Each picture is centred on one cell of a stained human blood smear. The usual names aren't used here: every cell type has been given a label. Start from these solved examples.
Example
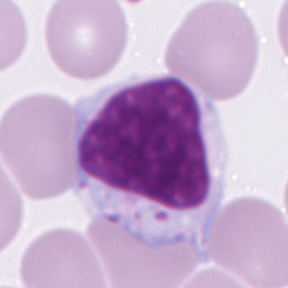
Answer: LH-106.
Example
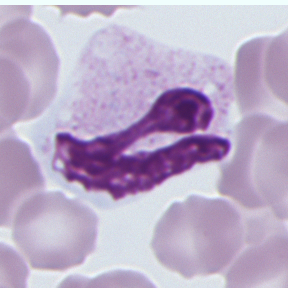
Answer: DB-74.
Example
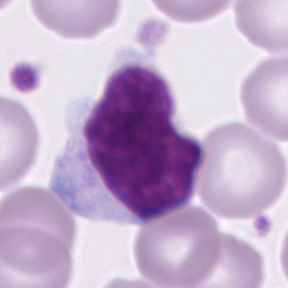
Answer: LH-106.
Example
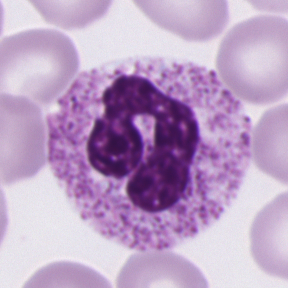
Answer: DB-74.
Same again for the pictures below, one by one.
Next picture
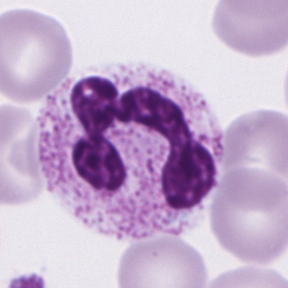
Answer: DB-74.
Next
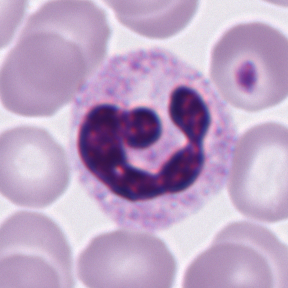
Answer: DB-74.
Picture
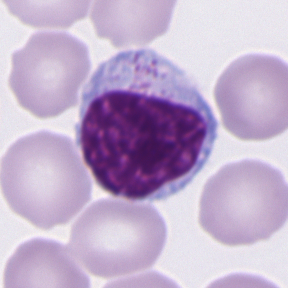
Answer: LH-106.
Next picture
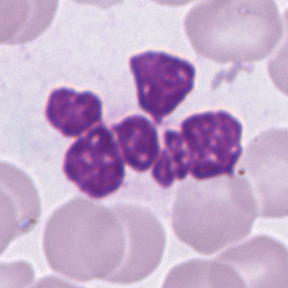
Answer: DB-74.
